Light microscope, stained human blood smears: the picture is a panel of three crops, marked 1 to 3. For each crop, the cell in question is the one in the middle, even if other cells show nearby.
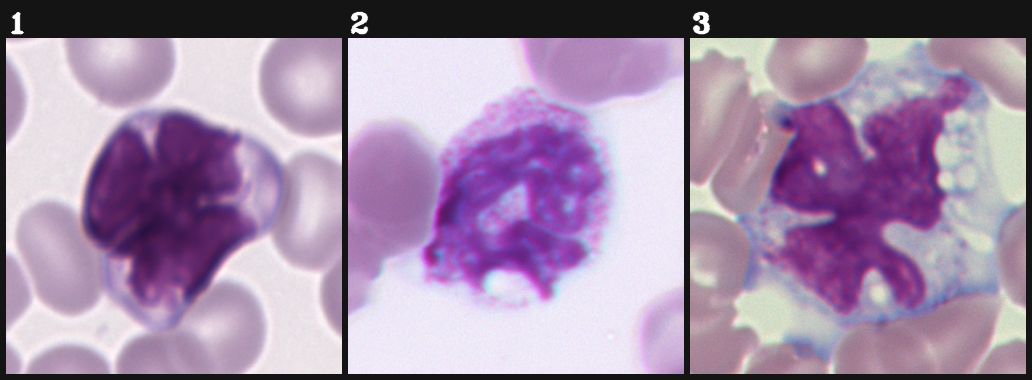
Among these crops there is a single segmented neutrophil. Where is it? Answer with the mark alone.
2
